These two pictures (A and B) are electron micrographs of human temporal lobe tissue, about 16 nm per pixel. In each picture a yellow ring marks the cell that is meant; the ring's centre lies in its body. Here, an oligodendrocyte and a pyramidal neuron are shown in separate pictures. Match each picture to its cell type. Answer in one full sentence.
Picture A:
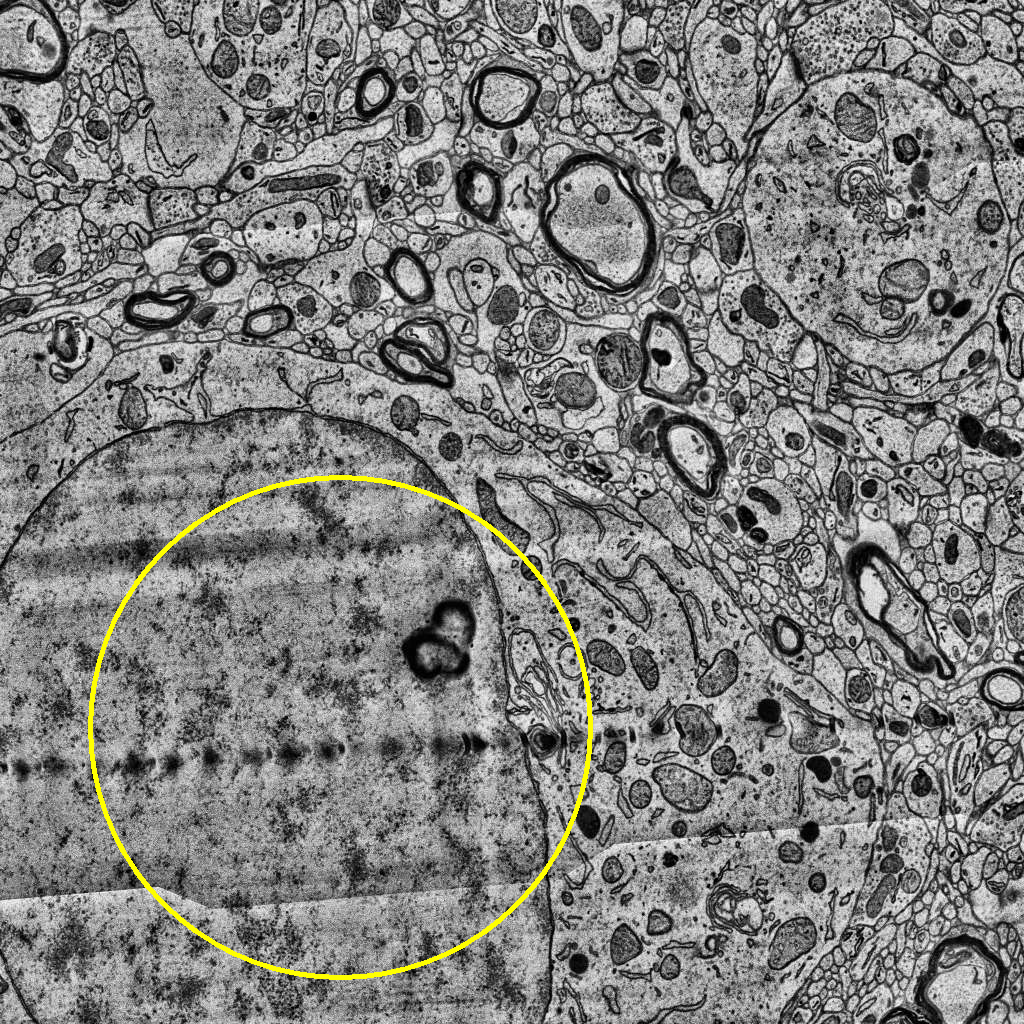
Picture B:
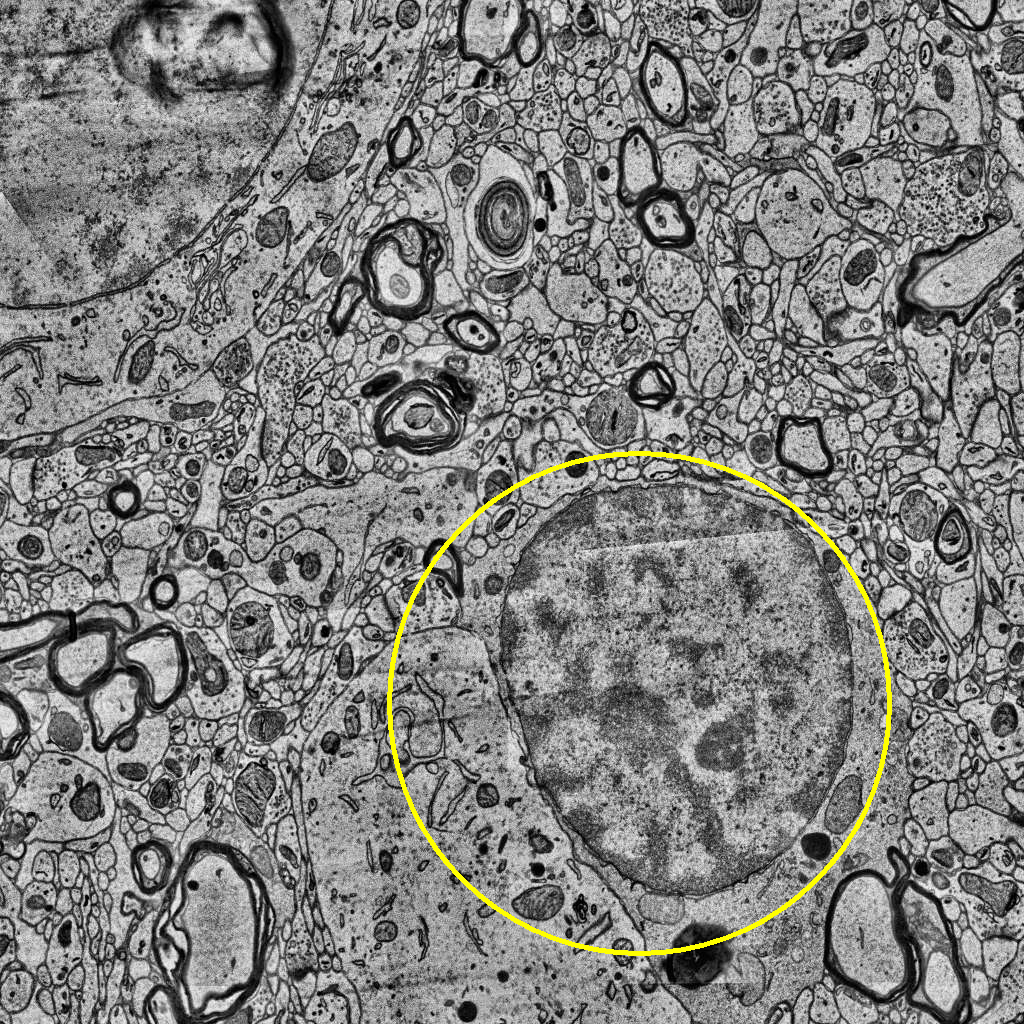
Picture A shows a pyramidal neuron and picture B shows an oligodendrocyte.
